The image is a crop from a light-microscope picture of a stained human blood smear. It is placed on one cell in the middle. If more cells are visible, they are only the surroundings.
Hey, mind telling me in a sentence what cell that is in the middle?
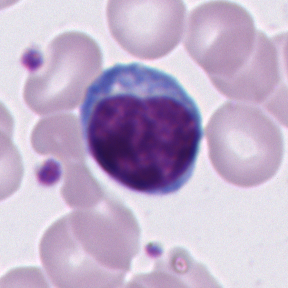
The cell of interest, located centrally, is a typical lymphocyte.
